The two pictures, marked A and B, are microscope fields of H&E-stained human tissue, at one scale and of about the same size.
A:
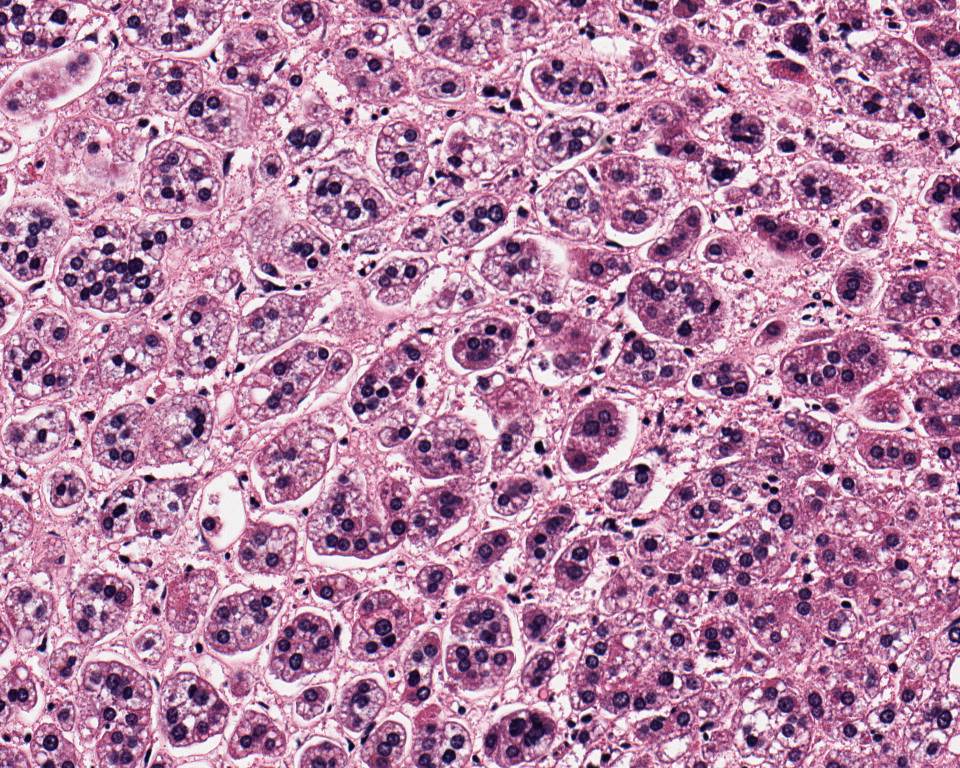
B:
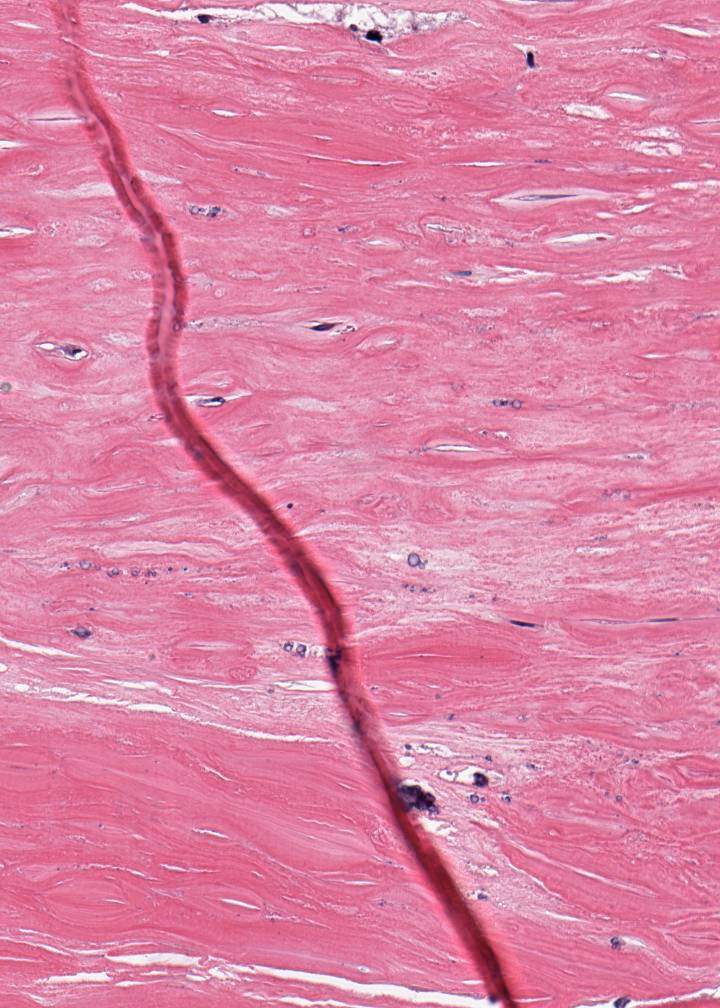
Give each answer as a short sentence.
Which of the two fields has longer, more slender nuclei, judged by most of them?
The nuclei are more elongated in picture B.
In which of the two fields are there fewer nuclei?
It is picture B that has fewer nuclei in it.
